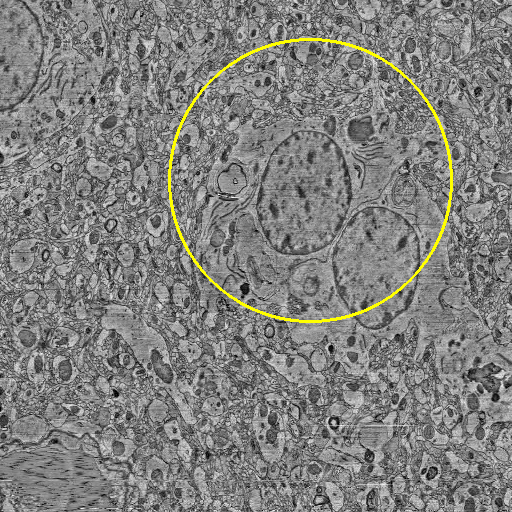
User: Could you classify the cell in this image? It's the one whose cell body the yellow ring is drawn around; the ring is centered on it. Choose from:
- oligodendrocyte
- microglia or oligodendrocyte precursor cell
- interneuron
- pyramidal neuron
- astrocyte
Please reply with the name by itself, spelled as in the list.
astrocyte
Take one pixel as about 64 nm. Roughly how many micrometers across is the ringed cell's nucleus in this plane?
The ringed cell's nucleus is about 8 micrometres long and 6 micrometres wide in this plane.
